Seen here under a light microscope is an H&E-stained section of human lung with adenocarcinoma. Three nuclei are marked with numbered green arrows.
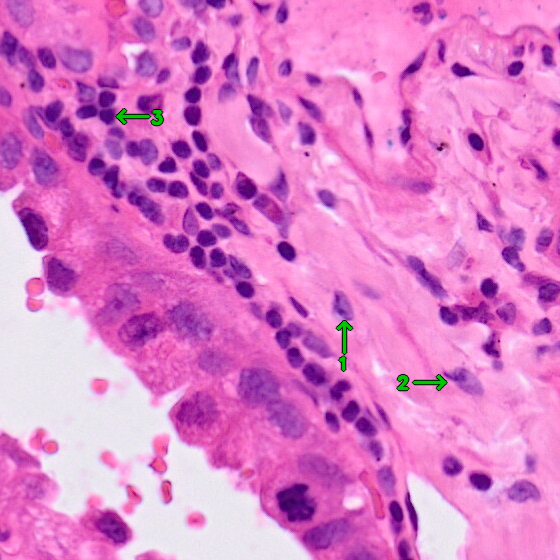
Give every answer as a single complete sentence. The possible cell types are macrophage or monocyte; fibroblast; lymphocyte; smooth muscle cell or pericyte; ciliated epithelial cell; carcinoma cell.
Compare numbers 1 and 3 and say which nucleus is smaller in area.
It is nucleus 3; nucleus 1 has about 2.5 times its area.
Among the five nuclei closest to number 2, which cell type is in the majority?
Of the five nuclei nearest to number 2, most belong to macrophages or monocytes.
